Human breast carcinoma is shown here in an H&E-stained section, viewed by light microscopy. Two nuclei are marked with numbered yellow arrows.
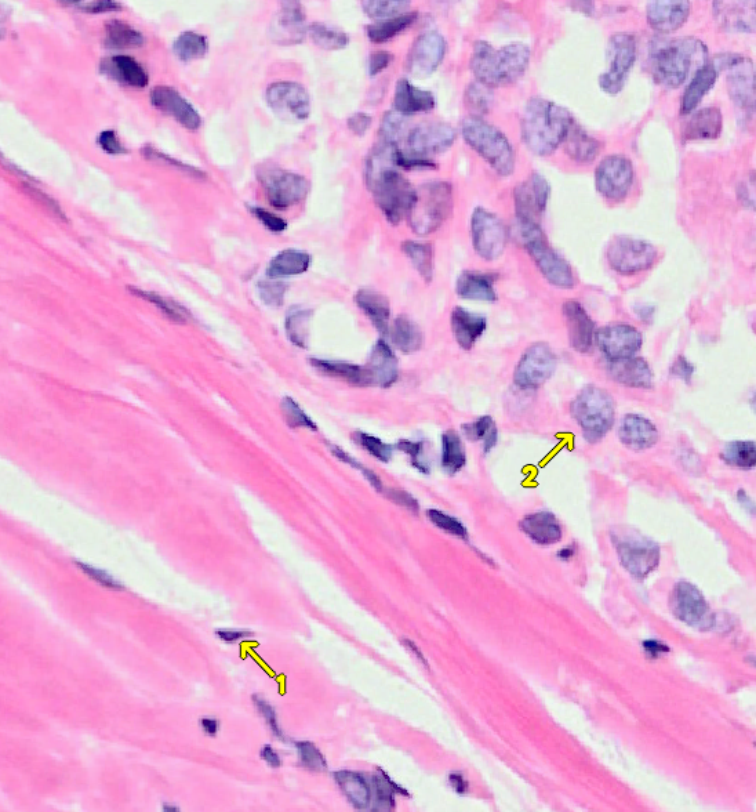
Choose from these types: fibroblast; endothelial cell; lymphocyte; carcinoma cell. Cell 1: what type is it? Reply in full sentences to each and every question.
The cell marked with the number 1 is a fibroblast.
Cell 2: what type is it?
The cell tagged with 2 in this tissue section is a carcinoma cell.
